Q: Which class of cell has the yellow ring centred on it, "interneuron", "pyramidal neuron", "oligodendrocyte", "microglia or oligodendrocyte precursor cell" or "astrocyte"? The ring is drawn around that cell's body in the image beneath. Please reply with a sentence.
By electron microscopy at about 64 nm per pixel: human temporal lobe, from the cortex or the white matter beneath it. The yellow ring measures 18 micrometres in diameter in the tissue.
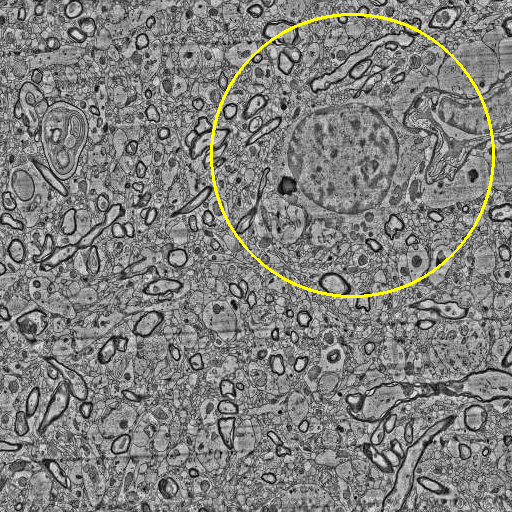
It is centred on an oligodendrocyte.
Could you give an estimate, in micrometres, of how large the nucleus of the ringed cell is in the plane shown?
Roughly 7 micrometers across in this plane.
